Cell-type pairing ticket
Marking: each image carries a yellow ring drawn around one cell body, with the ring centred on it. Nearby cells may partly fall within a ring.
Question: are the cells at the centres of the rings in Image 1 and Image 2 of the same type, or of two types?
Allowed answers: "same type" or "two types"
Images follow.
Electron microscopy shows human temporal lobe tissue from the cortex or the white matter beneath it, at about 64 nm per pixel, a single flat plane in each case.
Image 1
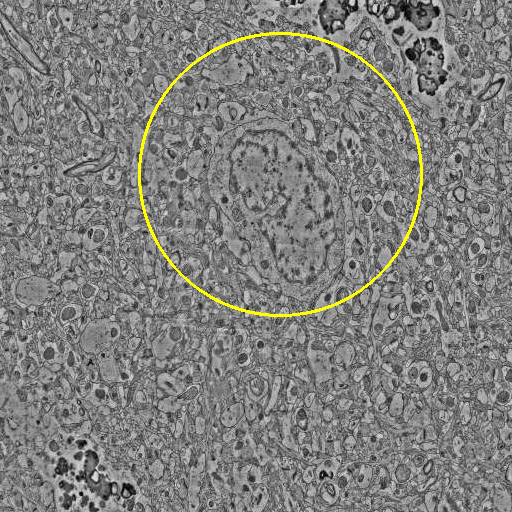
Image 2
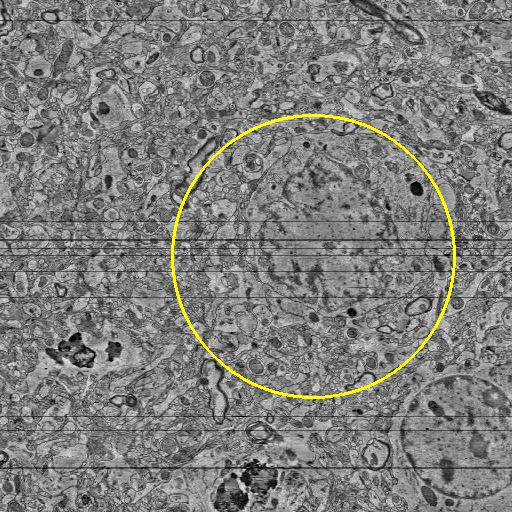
same type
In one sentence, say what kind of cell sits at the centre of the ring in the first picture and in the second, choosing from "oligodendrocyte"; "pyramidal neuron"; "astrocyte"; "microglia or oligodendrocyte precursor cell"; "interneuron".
Each cell at the centre of a ring is an interneuron.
